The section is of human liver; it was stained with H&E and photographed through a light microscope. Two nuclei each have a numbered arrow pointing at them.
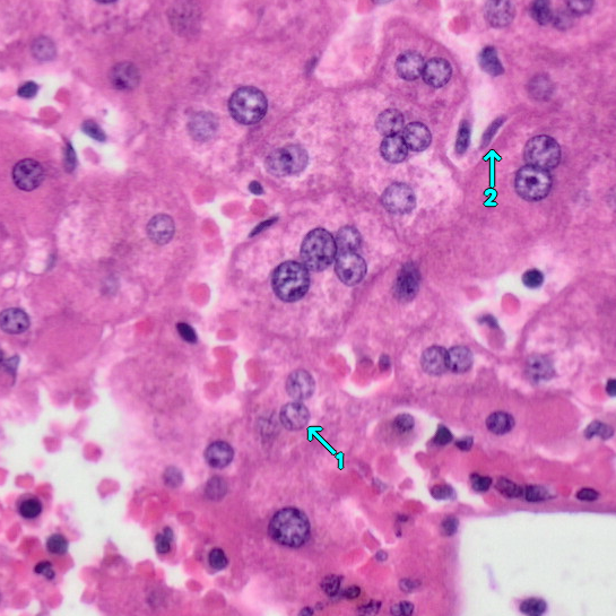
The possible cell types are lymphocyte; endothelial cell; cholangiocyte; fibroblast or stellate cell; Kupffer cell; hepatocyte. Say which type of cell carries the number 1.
hepatocyte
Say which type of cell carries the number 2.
Kupffer cell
